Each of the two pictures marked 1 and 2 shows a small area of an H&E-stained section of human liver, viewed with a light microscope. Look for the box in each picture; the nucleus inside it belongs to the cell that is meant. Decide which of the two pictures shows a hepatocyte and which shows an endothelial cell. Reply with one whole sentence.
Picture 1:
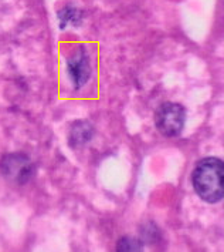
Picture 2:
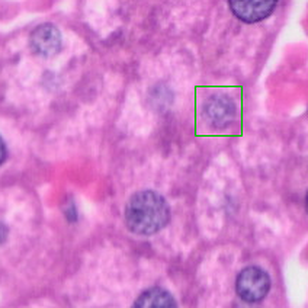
Picture 2 shows a hepatocyte, while picture 1 shows an endothelial cell.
